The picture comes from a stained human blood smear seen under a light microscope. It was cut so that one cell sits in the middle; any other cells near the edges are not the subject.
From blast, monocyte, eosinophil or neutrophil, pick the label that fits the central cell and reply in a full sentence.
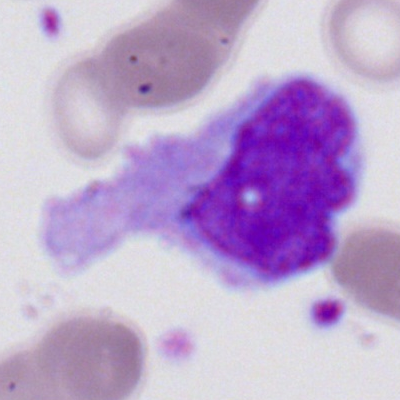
The single cell at the center of the crop is a monocyte.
